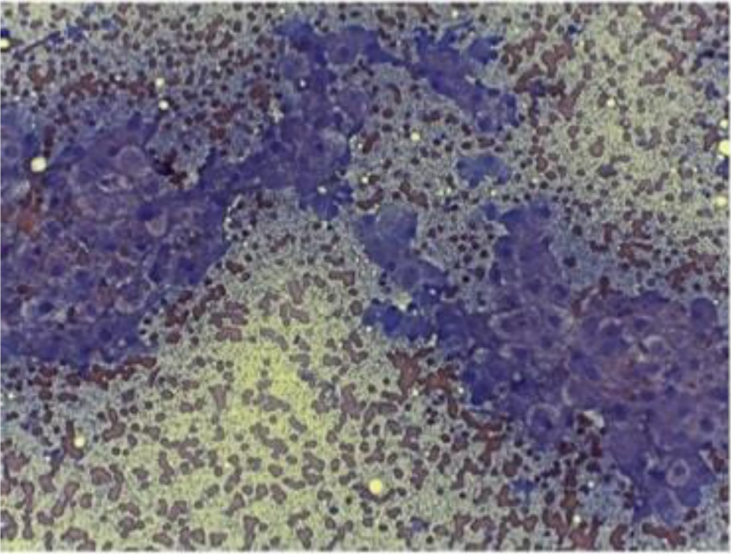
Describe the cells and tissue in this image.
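This cytological smear is dominated by red cells, which fill the background as small reddish-brown, anucleate discs. Across it lie loose, irregular clusters of much larger cells with abundant blue to purple cytoplasm, some of which looks pale and vacuolated. Among the clusters are smaller darker nuclei and amorphous bluish material, giving a crowded, messy picture.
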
